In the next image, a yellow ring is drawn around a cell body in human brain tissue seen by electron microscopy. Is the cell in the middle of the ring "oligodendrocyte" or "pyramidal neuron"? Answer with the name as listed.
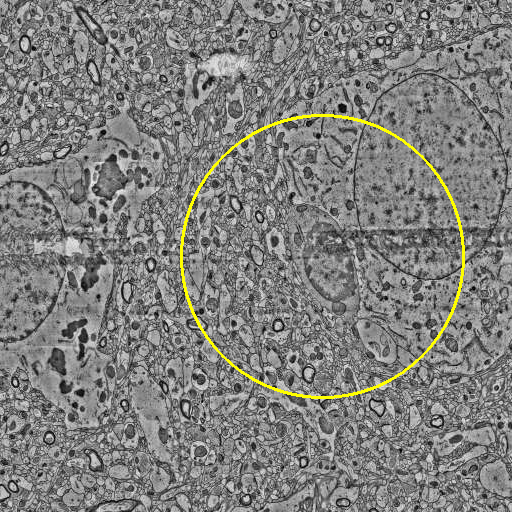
oligodendrocyte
